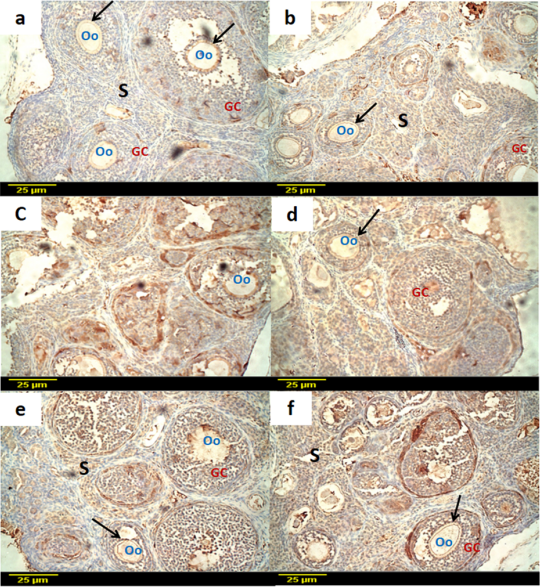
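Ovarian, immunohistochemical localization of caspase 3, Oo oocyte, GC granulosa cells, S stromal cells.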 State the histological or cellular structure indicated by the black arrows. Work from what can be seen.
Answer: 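Zona pellucida. Each black arrow points at the rim immediately around an oocyte.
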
